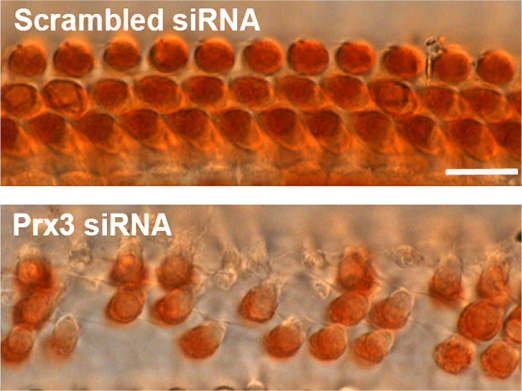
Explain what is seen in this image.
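Surface view of the sensory epithelium of the cochlea, with hair cells stained brown-orange in three regular rows. In the upper image the rows are complete, the rounded cell bodies lying side by side, while in the lower image many hair cells are missing, leaving pale empty gaps between the remaining stained cells.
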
